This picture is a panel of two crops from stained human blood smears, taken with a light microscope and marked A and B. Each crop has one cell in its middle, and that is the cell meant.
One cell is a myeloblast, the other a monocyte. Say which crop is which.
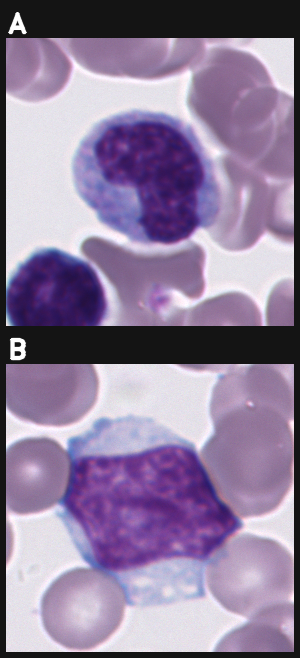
A: monocyte
B: myeloblast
